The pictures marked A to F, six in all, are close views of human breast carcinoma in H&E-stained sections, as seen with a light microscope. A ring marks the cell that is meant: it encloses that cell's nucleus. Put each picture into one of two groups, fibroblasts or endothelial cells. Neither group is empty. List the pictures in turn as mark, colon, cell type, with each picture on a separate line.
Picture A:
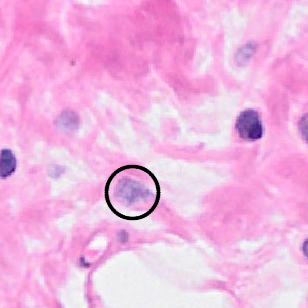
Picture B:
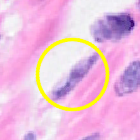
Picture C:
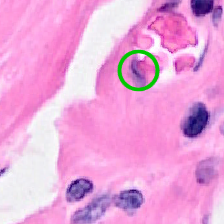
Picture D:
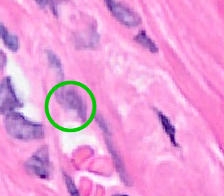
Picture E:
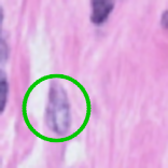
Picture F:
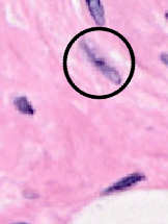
A: fibroblast
B: fibroblast
C: endothelial cell
D: endothelial cell
E: fibroblast
F: fibroblast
